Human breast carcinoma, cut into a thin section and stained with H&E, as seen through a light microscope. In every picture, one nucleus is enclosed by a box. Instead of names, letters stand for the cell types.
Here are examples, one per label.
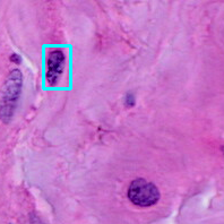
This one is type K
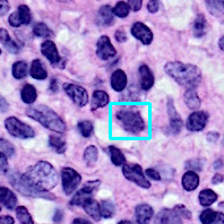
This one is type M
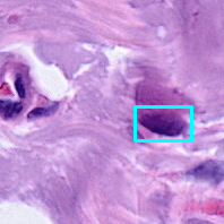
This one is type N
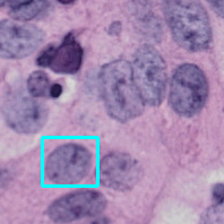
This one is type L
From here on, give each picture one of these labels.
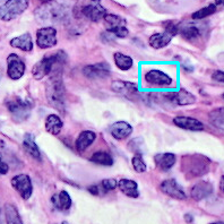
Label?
type M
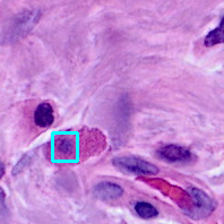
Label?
type K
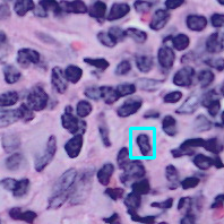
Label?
type M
